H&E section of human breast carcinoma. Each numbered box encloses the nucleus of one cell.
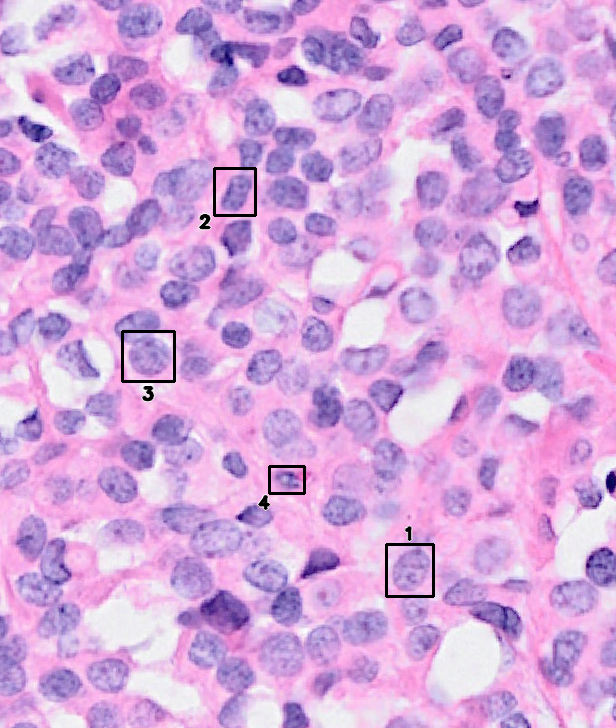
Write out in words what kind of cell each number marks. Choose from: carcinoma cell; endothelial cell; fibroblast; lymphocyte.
Cell 1 is a carcinoma cell, cell 2 is a carcinoma cell, cell 3 is a carcinoma cell and cell 4 is an endothelial cell.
